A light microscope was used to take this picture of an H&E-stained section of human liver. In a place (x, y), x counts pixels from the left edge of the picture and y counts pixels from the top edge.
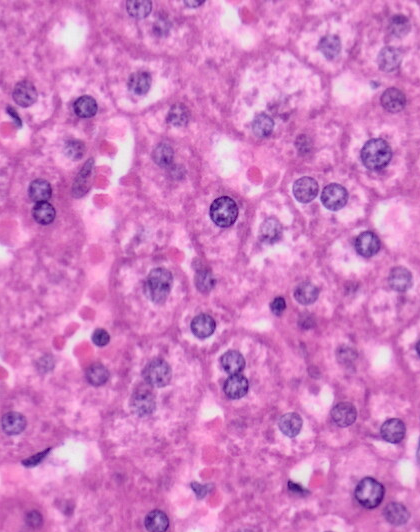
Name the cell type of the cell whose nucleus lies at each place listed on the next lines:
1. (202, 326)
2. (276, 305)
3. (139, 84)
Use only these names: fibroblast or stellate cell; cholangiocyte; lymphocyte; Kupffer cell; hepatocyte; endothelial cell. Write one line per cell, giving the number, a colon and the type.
1: hepatocyte
2: lymphocyte
3: hepatocyte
